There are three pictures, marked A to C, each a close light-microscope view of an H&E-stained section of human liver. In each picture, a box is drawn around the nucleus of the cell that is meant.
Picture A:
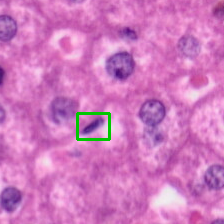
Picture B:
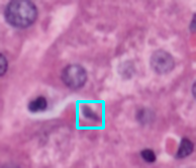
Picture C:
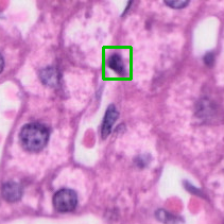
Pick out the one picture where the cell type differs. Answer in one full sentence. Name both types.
Picture C is the odd one out: it shows a “fibroblast or stellate cell”, while the others show endothelial cells.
